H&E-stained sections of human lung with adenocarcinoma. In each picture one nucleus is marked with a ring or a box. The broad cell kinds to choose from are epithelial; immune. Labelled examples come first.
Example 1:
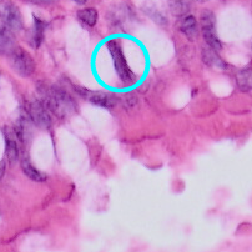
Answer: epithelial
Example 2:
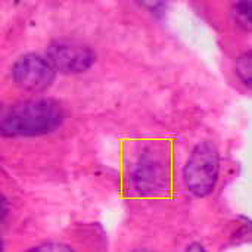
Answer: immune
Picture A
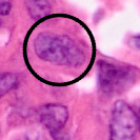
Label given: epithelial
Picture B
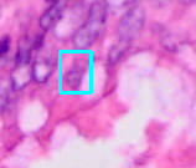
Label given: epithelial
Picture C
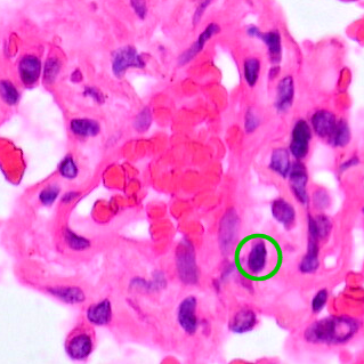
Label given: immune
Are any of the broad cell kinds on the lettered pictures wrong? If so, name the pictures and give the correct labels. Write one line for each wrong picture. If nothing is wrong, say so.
Nothing to fix; every label fits.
